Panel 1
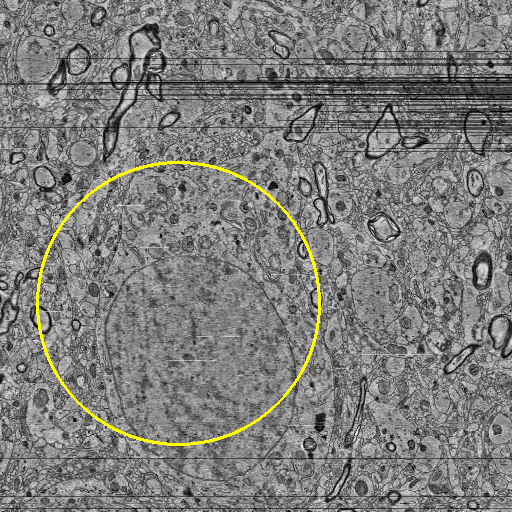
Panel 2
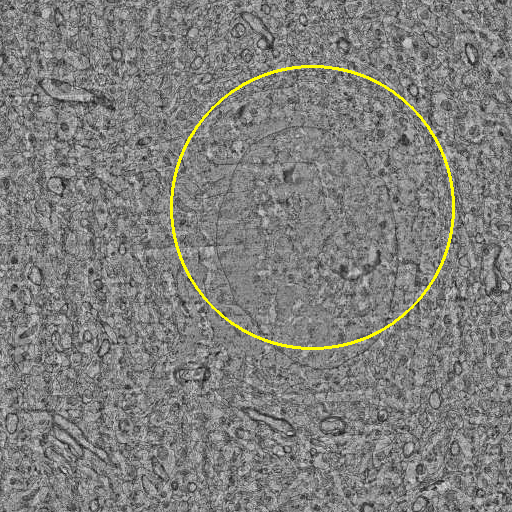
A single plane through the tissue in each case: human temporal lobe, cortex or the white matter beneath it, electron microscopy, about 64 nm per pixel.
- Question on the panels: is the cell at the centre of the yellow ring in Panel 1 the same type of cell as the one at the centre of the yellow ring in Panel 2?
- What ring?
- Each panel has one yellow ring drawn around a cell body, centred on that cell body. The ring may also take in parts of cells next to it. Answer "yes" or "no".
no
